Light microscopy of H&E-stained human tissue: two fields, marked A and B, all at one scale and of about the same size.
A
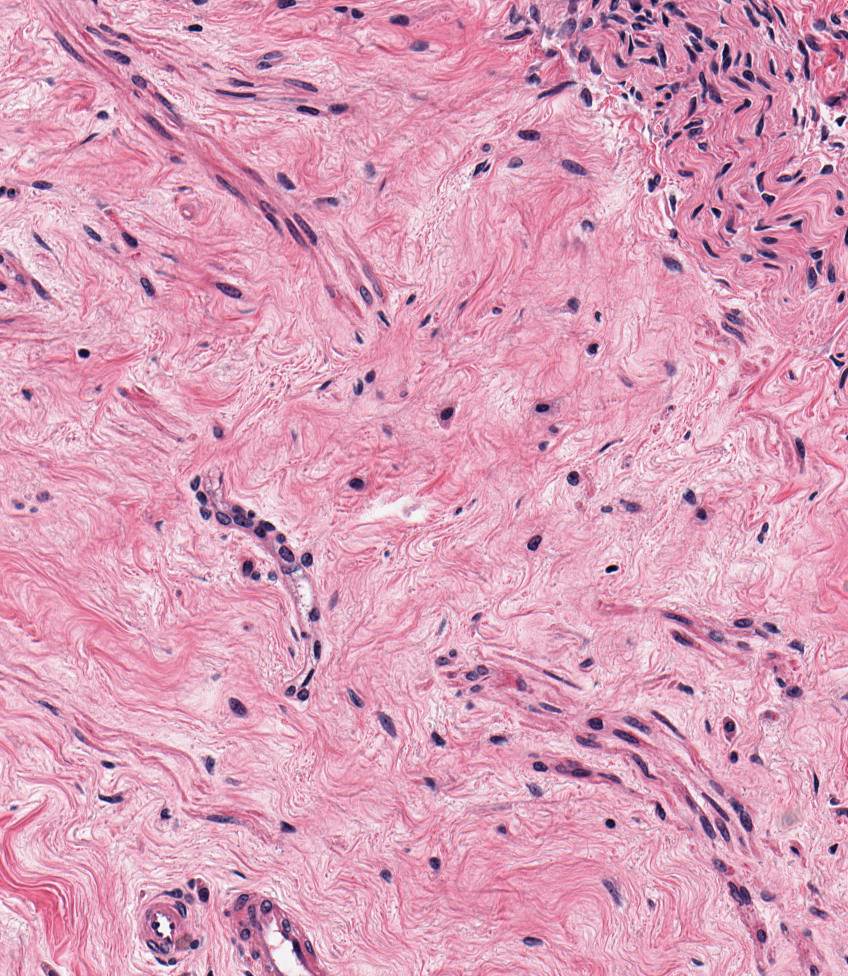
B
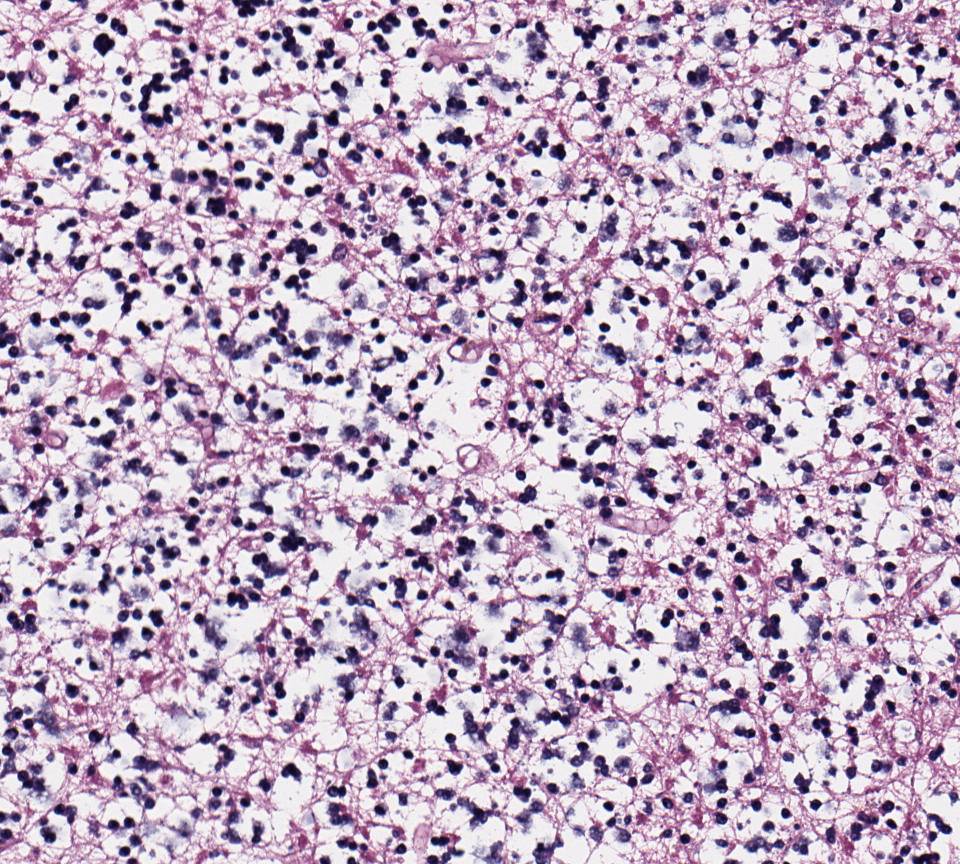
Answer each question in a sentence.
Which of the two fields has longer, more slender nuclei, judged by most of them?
The nuclei are more elongated in field A.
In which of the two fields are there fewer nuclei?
Field A holds fewer nuclei than field B.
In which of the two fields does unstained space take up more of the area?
It is field B in which white space covers the larger part.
